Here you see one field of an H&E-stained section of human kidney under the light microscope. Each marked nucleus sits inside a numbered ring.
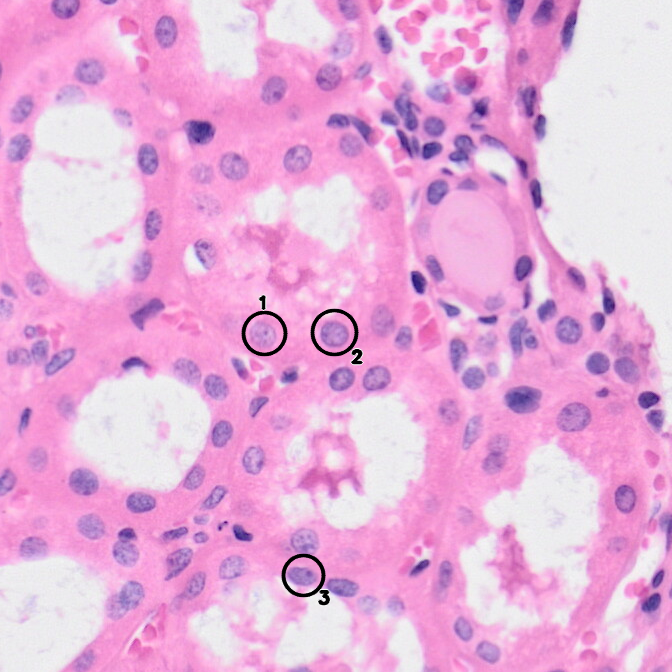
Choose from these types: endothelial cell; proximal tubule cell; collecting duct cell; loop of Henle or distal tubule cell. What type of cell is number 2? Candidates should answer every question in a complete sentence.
The numbered cell 2 in this field is a proximal tubule cell.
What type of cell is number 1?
The nucleus marked 1 is the nucleus of a proximal tubule cell.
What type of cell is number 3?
The cell given label 3 is a loop of Henle or distal tubule cell.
